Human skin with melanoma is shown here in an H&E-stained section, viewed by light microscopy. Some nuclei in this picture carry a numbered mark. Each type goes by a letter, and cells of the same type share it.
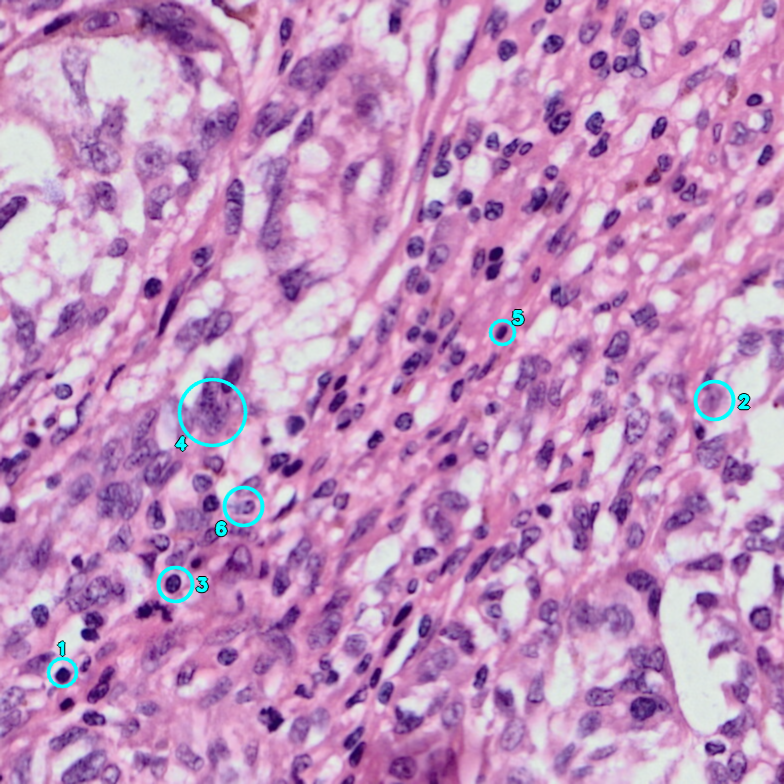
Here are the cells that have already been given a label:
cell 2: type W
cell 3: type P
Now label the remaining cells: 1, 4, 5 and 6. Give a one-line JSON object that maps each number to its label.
{"1": "type P", "4": "type W", "5": "type P", "6": "type P"}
